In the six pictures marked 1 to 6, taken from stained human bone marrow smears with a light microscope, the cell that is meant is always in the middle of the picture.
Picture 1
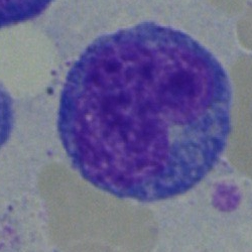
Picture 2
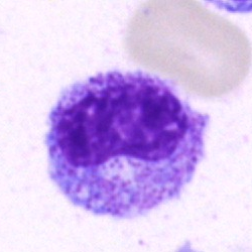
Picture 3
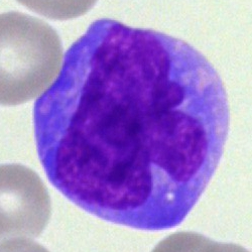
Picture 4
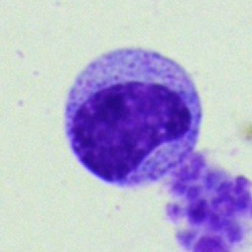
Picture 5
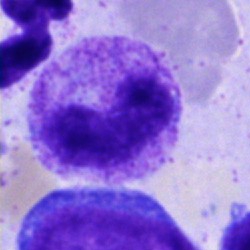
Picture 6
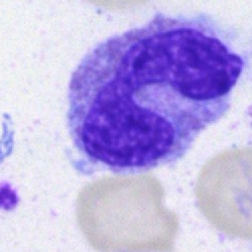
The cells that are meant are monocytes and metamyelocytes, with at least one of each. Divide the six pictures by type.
1: monocyte
2: metamyelocyte
3: monocyte
4: metamyelocyte
5: metamyelocyte
6: monocyte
